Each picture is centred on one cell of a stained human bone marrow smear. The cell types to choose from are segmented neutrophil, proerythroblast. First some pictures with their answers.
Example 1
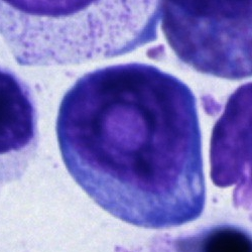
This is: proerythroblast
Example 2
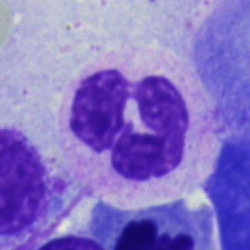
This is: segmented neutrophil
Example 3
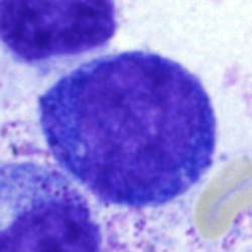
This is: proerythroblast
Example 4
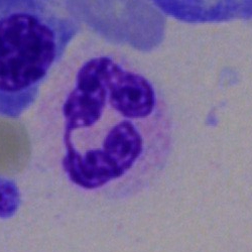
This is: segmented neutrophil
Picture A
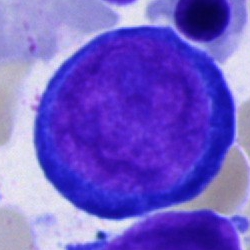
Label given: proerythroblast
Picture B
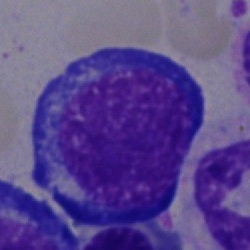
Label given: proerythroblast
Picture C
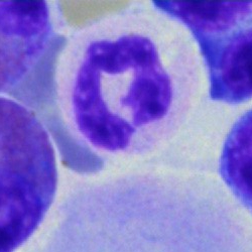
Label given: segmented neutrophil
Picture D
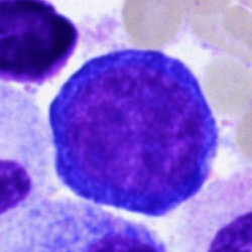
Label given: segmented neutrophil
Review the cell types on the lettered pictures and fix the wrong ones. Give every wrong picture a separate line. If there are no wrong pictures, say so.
D is labelled segmented neutrophil; correct label: proerythroblast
